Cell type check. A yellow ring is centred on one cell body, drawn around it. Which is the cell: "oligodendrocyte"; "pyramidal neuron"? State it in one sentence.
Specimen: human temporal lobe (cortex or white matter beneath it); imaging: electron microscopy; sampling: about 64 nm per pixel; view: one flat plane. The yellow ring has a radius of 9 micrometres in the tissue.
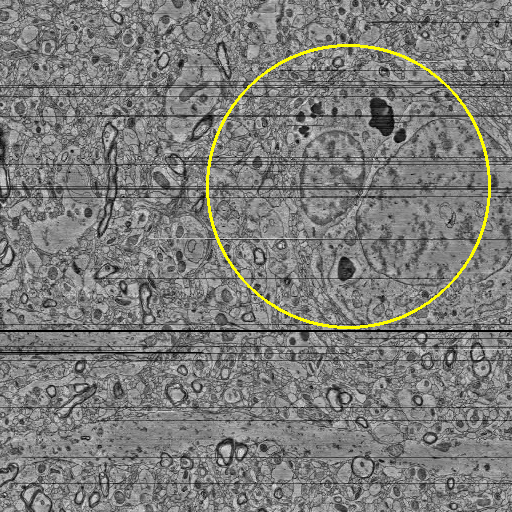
The cell body at the ring's centre belongs to an oligodendrocyte.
